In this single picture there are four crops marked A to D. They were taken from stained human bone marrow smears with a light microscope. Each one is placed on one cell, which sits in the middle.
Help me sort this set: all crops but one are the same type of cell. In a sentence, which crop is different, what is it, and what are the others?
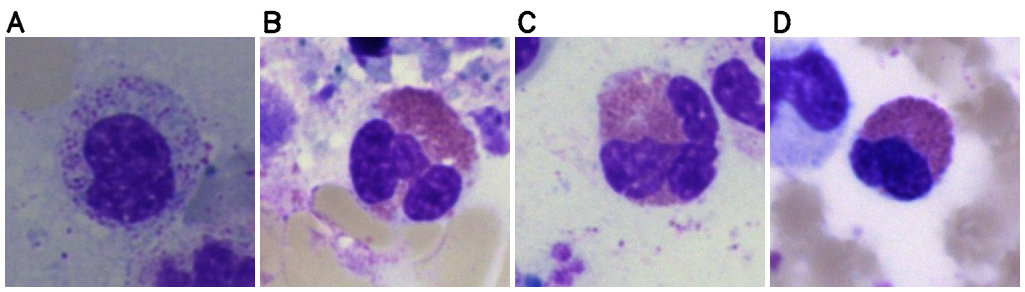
Seen in crop A is a metamyelocyte, and seen in all other crops are eosinophils.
